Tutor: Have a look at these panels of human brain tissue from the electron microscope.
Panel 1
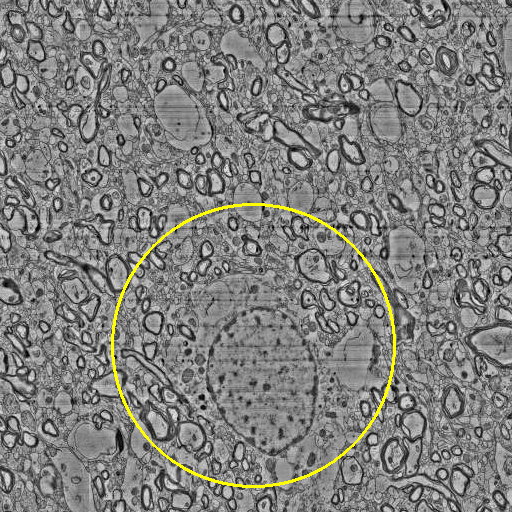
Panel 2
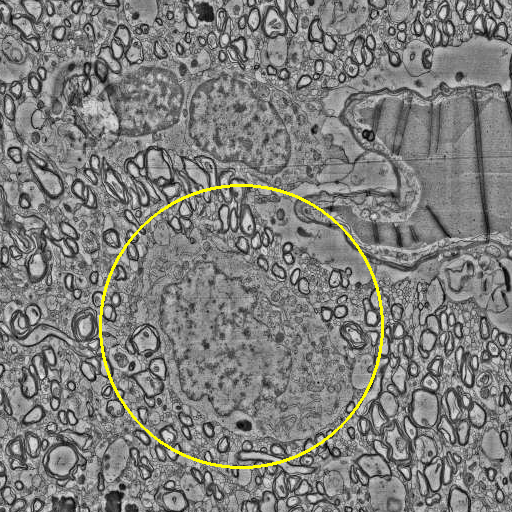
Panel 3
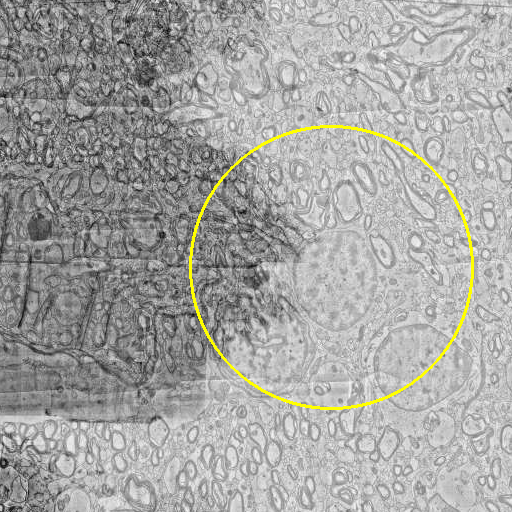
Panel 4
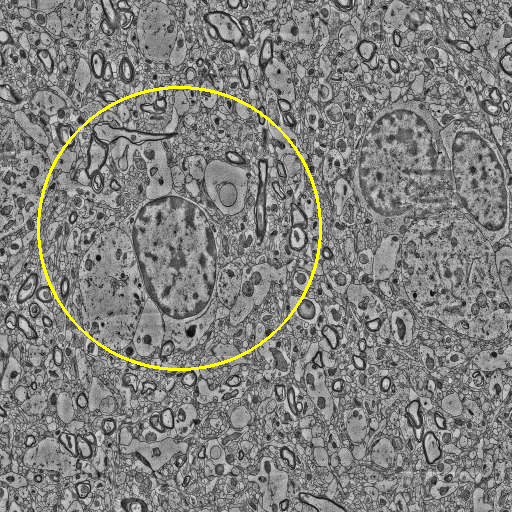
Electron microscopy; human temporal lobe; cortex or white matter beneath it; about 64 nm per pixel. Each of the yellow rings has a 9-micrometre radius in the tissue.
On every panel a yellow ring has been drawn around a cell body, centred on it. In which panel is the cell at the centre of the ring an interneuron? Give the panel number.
2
